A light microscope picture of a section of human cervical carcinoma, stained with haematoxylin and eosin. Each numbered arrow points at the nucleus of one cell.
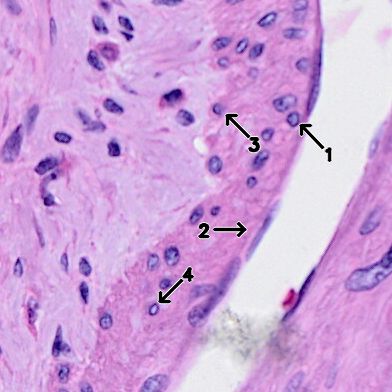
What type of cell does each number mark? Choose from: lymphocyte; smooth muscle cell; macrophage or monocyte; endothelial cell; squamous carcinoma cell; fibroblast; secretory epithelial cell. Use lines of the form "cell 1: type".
cell 1: smooth muscle cell
cell 2: endothelial cell
cell 3: smooth muscle cell
cell 4: smooth muscle cell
